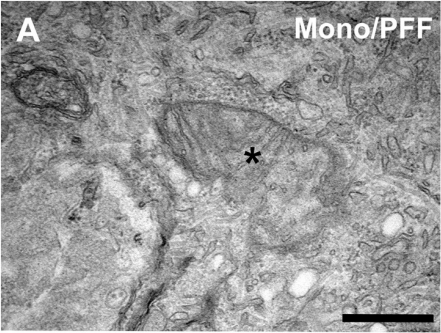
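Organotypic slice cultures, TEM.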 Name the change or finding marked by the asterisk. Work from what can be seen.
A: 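Structural mitochondrial damage. The asterisk lies on an elongated organelle crossed by parallel internal membranes. The organelle's outline and inner membranes look irregular and distorted.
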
